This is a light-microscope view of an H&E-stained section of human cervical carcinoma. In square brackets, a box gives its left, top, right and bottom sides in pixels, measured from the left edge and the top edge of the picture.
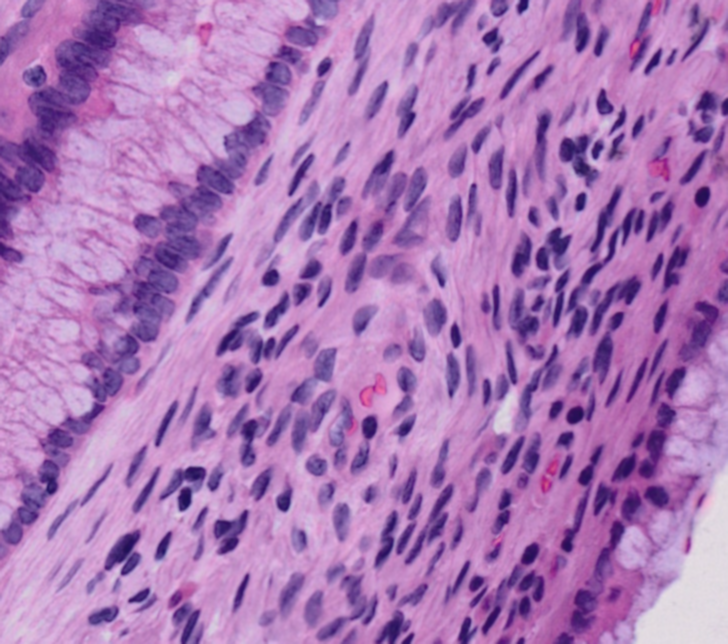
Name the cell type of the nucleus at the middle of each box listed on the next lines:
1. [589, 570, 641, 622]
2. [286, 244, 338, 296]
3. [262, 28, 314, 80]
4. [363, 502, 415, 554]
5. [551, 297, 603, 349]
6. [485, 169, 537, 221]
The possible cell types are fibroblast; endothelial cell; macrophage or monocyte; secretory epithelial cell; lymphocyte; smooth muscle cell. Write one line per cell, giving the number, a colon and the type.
1: secretory epithelial cell
2: fibroblast
3: secretory epithelial cell
4: fibroblast
5: fibroblast
6: fibroblast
